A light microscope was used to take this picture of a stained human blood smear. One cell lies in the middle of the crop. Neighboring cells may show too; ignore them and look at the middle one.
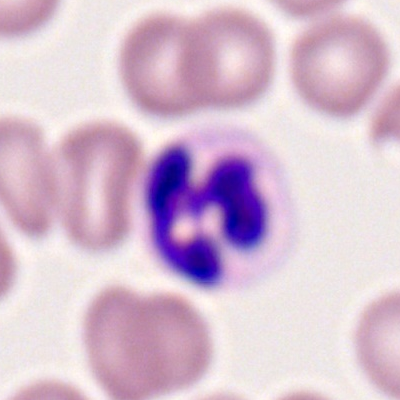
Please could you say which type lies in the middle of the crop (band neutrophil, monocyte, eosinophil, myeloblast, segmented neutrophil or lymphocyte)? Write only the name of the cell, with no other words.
segmented neutrophil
